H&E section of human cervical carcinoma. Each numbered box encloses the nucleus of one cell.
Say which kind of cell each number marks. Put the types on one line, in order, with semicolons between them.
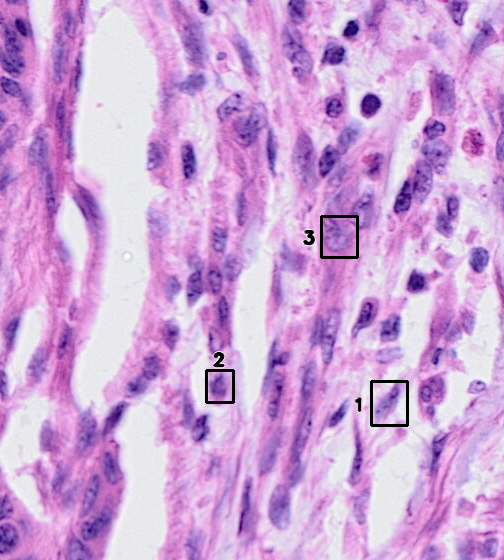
fibroblast; macrophage or monocyte; endothelial cell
